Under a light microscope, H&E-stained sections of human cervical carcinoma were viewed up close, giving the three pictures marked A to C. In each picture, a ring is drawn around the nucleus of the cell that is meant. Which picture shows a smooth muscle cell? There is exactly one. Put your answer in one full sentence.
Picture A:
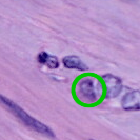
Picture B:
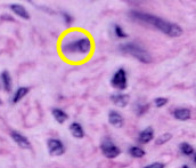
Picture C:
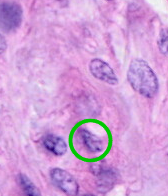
Picture B is the one that shows the smooth muscle cell.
